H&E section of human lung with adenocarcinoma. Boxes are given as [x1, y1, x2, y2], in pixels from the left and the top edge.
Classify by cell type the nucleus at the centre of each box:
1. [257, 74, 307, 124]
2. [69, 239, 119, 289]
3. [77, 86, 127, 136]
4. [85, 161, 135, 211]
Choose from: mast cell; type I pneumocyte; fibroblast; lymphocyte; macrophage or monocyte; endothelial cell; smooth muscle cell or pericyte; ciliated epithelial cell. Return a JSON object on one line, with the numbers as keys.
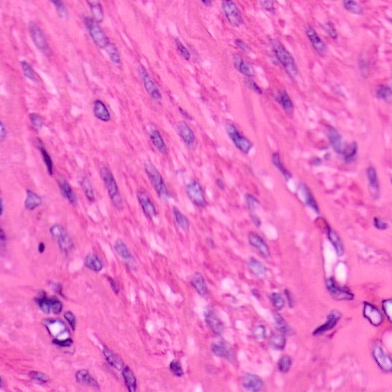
{"1": "smooth muscle cell or pericyte", "2": "smooth muscle cell or pericyte", "3": "mast cell", "4": "smooth muscle cell or pericyte"}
